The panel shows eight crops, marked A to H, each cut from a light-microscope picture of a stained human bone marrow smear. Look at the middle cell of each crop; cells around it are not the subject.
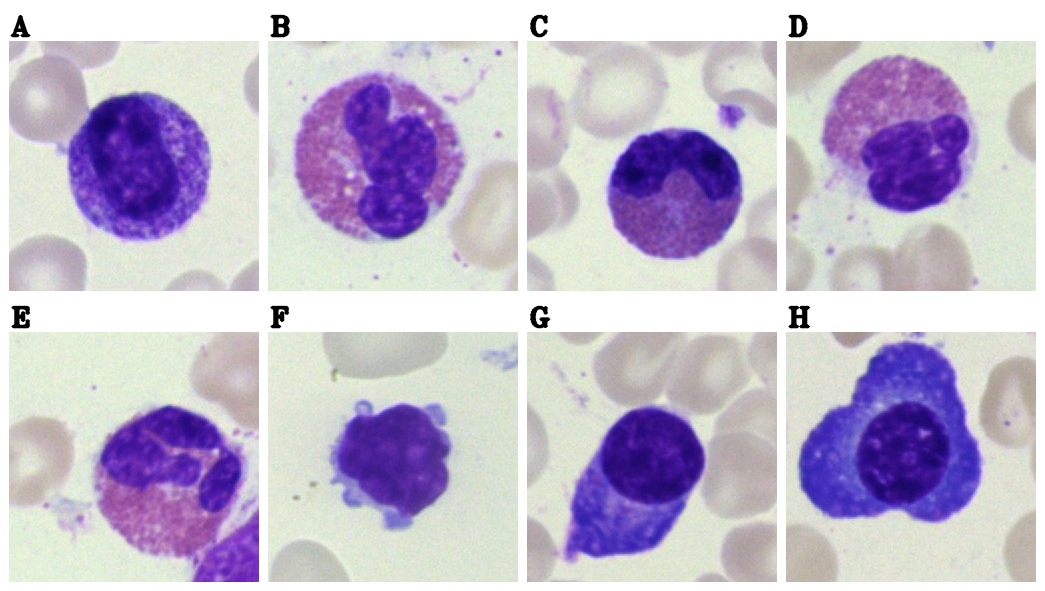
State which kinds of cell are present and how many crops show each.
eosinophil: 4
plasma cell: 2
metamyelocyte: 1
lymphocyte: 1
